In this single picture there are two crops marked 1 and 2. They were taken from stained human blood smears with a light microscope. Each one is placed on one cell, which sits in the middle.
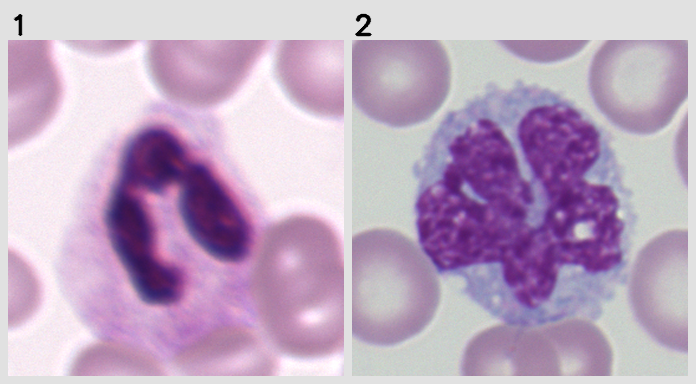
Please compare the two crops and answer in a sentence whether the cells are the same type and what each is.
No, the cell of interest in crop 1 is a segmented neutrophil, and in crop 2 it is a monocyte.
